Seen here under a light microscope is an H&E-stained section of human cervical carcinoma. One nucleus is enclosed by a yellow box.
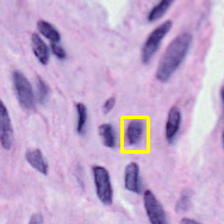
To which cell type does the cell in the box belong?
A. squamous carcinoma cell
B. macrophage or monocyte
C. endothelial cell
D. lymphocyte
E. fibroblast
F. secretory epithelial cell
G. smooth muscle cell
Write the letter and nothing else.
E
